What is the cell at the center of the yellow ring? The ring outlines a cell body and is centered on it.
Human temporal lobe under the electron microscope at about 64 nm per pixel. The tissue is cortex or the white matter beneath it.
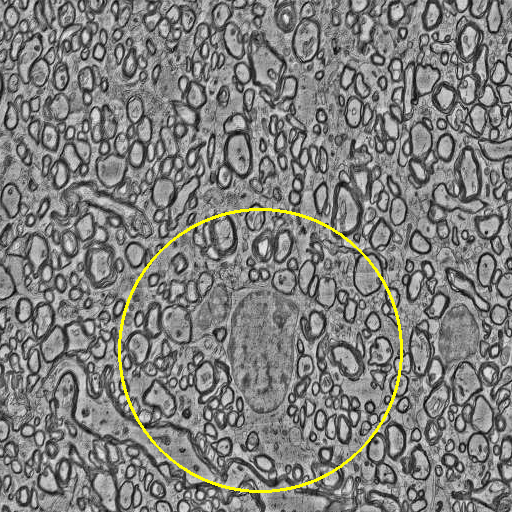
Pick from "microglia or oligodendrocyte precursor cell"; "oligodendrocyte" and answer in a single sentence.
The yellow ring is centered on a microglial cell or oligodendrocyte precursor cell.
